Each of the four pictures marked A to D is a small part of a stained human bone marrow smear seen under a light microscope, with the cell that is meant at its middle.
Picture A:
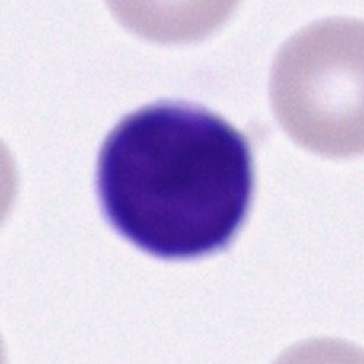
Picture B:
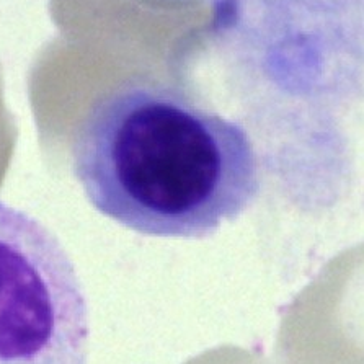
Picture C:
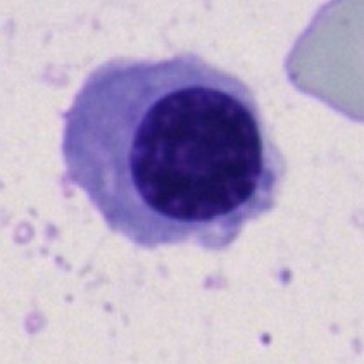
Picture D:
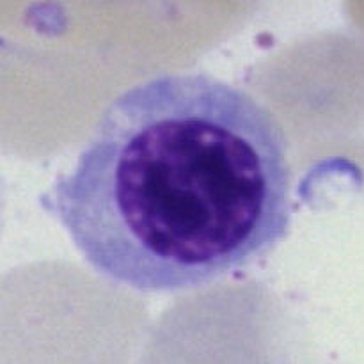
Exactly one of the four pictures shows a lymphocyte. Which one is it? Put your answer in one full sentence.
Picture A is the one that shows the lymphocyte.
